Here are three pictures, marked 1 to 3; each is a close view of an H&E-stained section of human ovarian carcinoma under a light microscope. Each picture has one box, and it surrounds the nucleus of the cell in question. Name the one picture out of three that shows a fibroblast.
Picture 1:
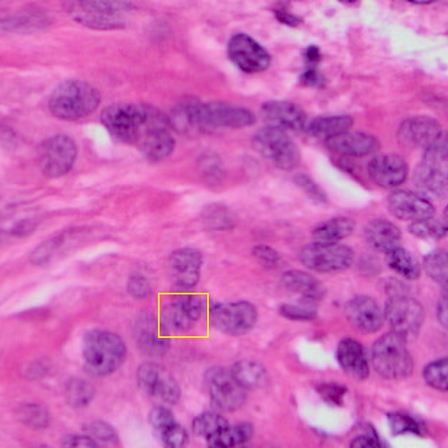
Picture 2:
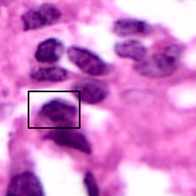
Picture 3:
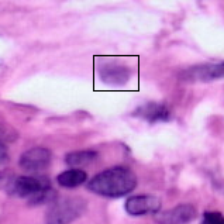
3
